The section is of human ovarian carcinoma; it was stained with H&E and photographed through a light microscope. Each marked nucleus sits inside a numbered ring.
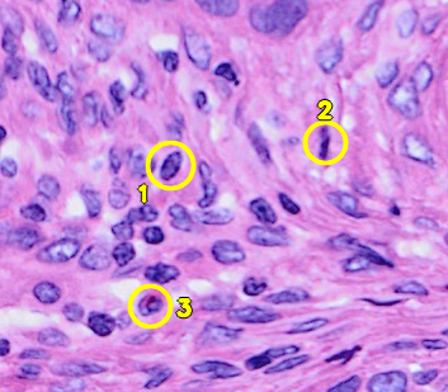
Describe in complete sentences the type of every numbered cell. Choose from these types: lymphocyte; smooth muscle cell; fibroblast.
Cell 1 is a lymphocyte, cell 2 is a fibroblast and cell 3 is a lymphocyte.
